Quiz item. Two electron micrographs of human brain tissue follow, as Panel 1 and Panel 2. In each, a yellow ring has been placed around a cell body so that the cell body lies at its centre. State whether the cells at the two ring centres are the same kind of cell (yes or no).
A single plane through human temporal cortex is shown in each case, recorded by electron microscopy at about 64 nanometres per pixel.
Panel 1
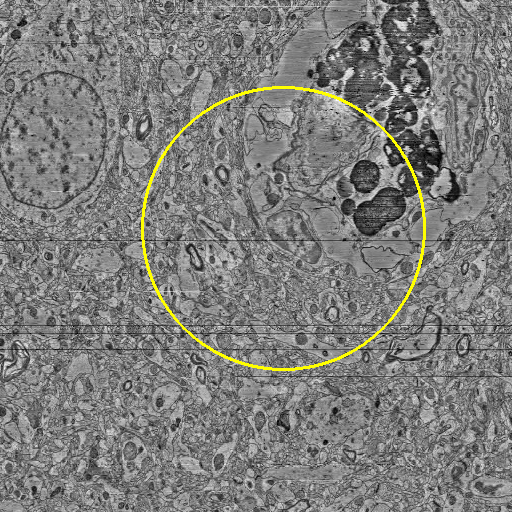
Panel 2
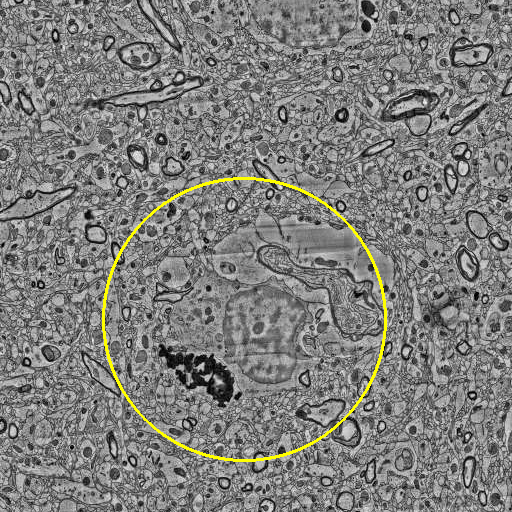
no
